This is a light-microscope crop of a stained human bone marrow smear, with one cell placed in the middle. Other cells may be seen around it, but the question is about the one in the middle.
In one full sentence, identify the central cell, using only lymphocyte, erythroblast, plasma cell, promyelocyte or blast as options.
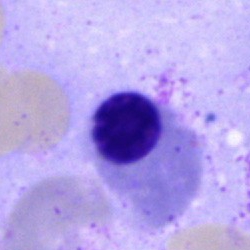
The centrally located cell in the crop is an erythroblast.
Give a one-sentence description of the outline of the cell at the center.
Nothing juts out from the margin, which is smooth throughout.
